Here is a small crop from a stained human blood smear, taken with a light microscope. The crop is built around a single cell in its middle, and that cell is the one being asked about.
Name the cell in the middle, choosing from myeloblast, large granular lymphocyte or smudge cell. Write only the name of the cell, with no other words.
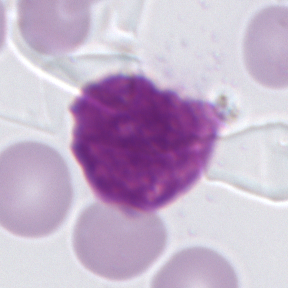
smudge cell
